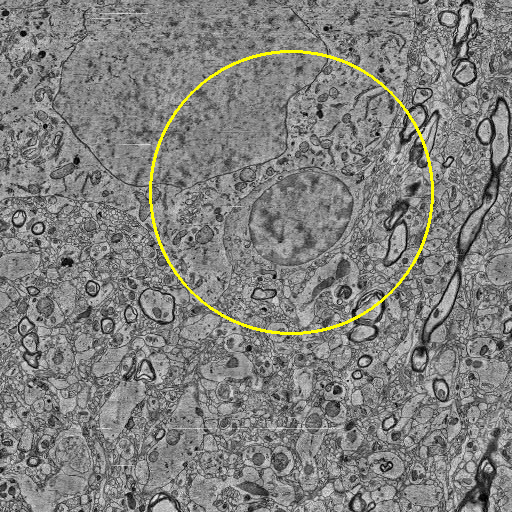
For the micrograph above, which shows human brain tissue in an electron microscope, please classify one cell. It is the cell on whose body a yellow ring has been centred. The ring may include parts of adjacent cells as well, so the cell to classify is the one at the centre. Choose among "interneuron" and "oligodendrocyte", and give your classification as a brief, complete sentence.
I classify this cell as an oligodendrocyte.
